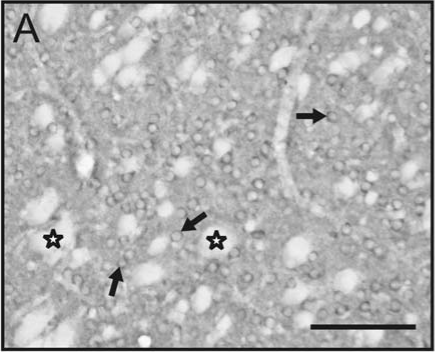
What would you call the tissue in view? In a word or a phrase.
striatum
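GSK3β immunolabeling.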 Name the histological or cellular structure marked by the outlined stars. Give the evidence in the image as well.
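Fiber bundles. The stars lie on pale, unstained round areas.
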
